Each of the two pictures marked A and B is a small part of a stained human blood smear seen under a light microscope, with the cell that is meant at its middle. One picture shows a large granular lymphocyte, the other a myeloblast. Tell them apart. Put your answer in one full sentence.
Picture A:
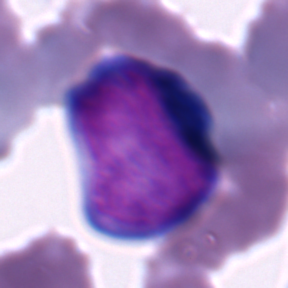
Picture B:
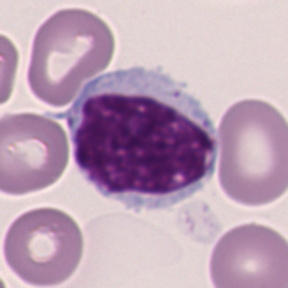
Picture A is of a myeloblast, and picture B is of a large granular lymphocyte.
